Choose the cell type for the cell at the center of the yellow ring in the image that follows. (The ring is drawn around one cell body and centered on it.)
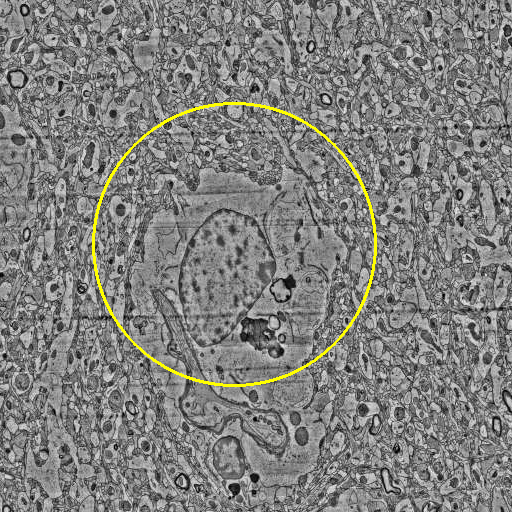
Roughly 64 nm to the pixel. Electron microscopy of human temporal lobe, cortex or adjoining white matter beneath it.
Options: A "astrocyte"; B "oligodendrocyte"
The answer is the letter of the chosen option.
A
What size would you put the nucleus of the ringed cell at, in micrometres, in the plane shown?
In this plane, the nucleus is roughly 9 by 6 micrometres.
